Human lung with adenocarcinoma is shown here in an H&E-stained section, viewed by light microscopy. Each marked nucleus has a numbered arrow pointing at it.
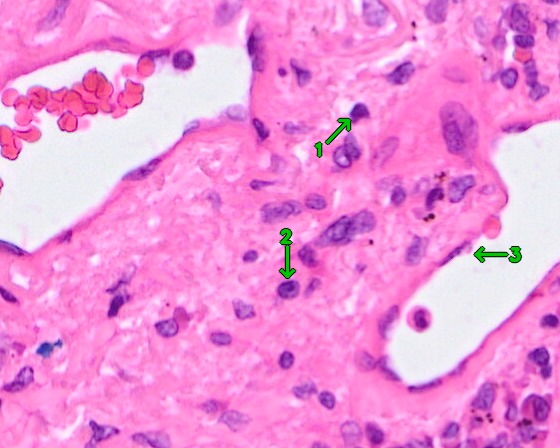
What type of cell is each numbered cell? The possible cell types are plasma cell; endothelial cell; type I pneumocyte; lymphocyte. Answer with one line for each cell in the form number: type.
1: lymphocyte
2: lymphocyte
3: endothelial cell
